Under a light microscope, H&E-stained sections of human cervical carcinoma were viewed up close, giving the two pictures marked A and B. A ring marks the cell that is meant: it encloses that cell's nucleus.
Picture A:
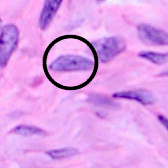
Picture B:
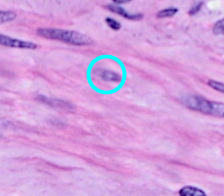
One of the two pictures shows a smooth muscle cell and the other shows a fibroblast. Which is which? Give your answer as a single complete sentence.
Picture B shows a smooth muscle cell, while picture A shows a fibroblast.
